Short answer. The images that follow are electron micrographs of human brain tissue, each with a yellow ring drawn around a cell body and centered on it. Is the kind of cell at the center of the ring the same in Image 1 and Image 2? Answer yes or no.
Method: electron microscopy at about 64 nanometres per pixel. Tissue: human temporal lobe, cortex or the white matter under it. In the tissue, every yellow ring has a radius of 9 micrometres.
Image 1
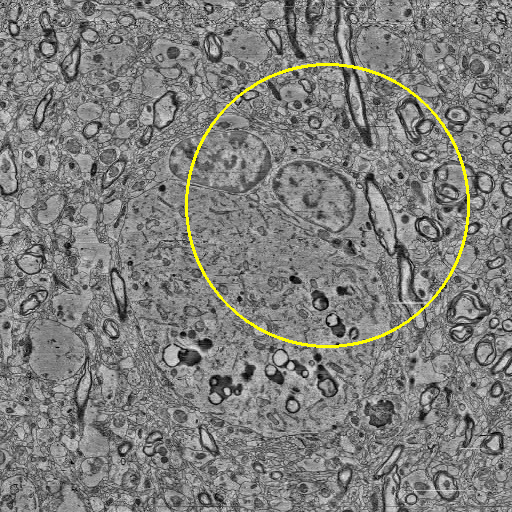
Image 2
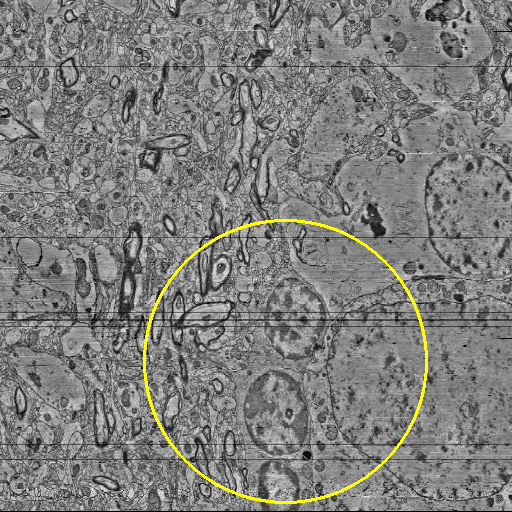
no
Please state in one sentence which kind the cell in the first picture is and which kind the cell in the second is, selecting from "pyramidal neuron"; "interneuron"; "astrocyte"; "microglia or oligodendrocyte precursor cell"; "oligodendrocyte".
The first ringed cell is a microglial cell or oligodendrocyte precursor cell, the second ringed cell an oligodendrocyte.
